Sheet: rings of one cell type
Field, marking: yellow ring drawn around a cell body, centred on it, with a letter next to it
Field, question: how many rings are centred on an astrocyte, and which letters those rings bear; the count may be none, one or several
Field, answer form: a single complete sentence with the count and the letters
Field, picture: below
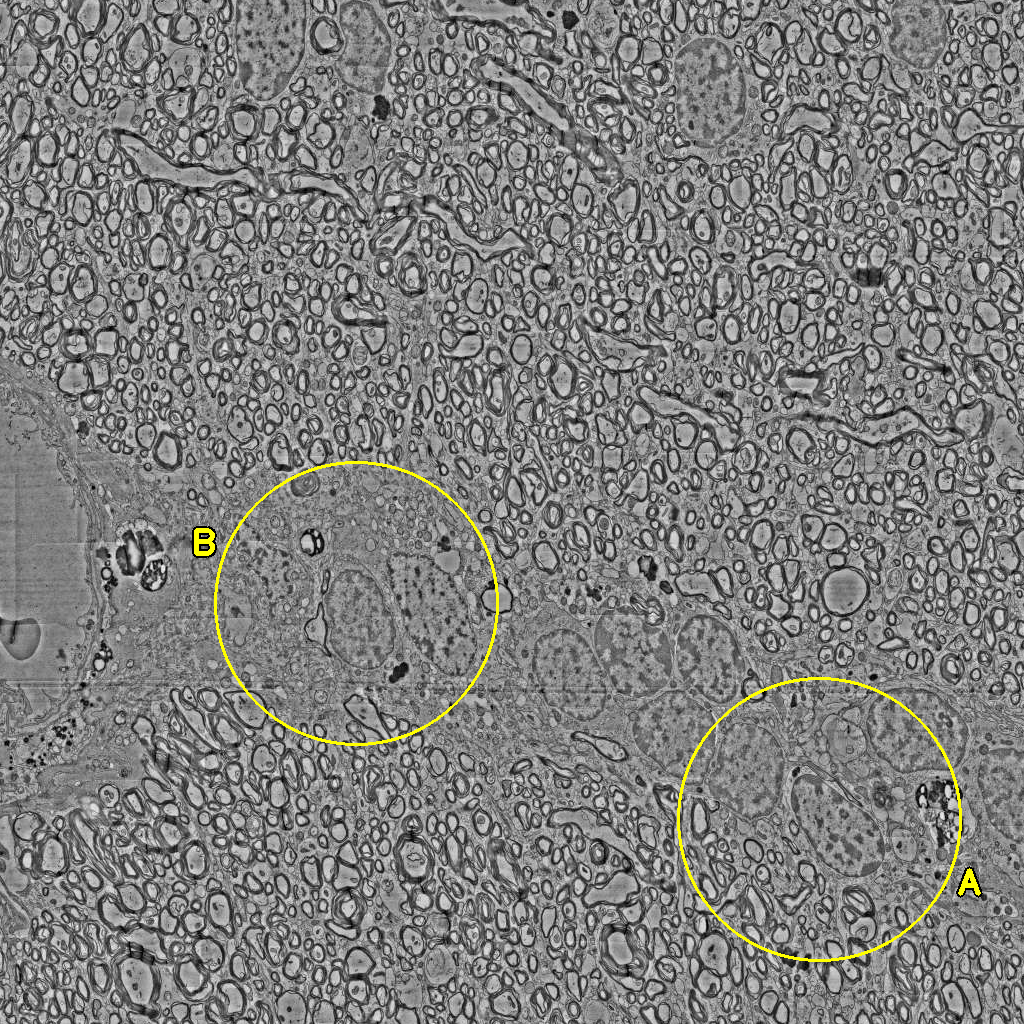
Zero rings in the micrograph are centred on an astrocyte.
